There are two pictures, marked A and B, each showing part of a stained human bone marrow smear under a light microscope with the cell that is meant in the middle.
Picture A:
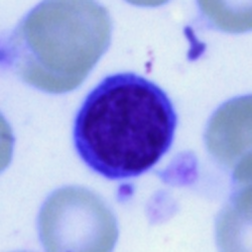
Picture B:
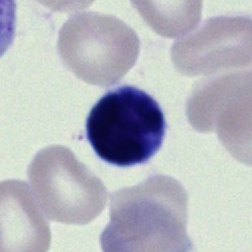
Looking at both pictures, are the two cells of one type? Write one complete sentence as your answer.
Yes, both cells are lymphocytes.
